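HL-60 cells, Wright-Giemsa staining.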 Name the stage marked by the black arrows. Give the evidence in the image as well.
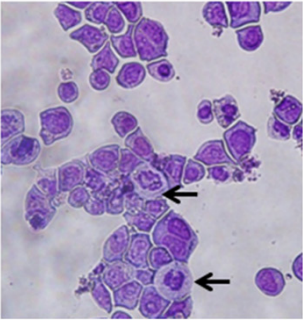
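Mitotic cells. The arrowed cells show clumped, dark condensed chromatin rather than a smooth nucleus. They lie among crowded cells with intact round nuclei.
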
